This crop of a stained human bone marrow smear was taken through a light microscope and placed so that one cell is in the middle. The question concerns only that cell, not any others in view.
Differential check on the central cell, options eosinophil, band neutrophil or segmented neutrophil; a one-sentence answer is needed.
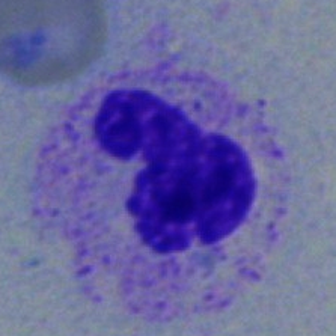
In the crop, the cell of interest at the centre is a segmented neutrophil.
